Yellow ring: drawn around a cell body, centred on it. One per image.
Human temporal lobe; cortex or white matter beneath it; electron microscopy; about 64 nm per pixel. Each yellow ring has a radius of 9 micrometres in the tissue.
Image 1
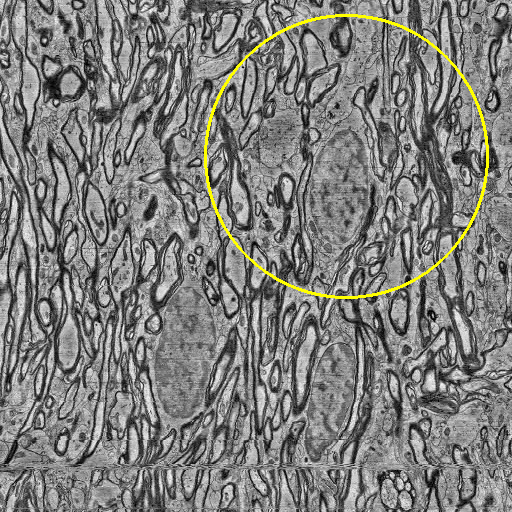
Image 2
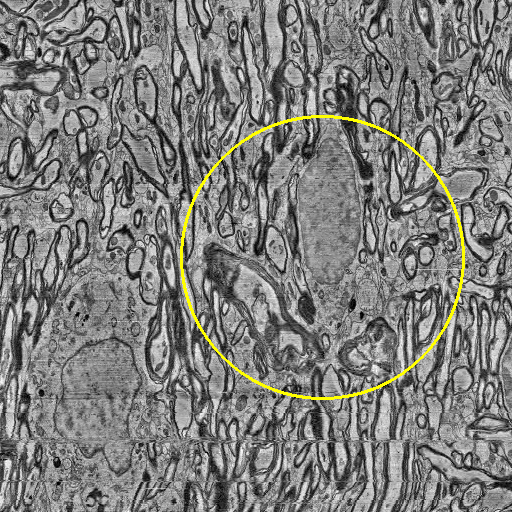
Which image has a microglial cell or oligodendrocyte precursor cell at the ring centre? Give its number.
1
